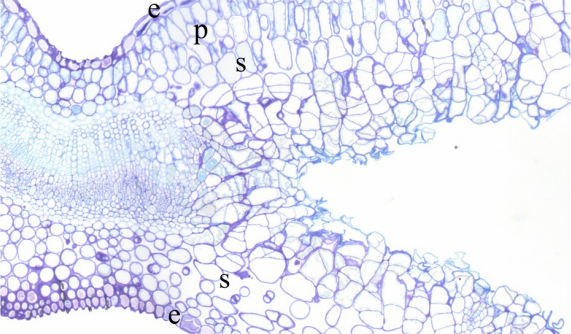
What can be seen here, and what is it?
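A leaf cross-section stained in shades of blue and violet, showing a large vascular bundle at left with a fan of small, radially aligned cells and a cap of thick-walled cells below. Toward the right the upper and lower leaf layers split apart around an empty cavity; the cells bordering it are enlarged, irregular and thin-walled, some collapsed. The lower side shows rounded cells over a dark epidermis.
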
